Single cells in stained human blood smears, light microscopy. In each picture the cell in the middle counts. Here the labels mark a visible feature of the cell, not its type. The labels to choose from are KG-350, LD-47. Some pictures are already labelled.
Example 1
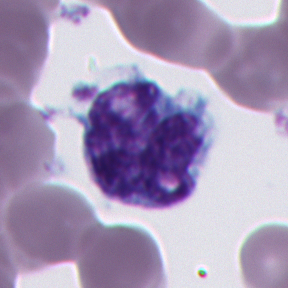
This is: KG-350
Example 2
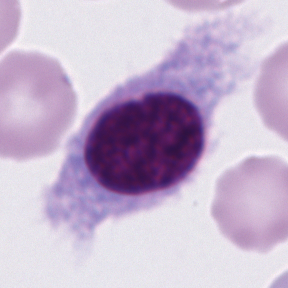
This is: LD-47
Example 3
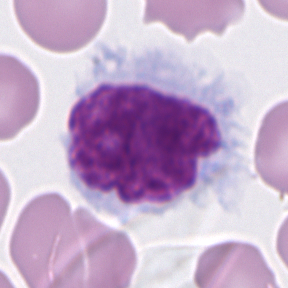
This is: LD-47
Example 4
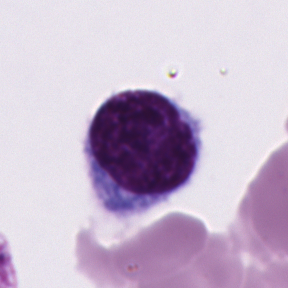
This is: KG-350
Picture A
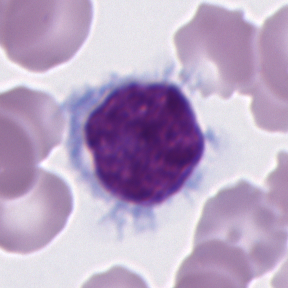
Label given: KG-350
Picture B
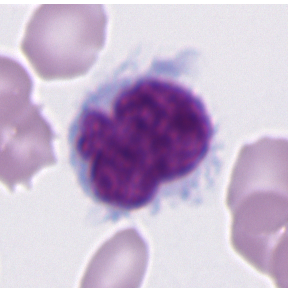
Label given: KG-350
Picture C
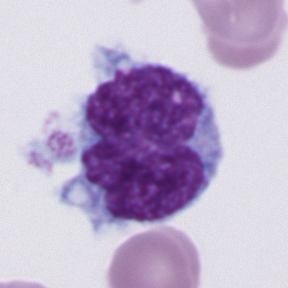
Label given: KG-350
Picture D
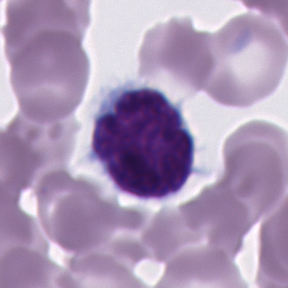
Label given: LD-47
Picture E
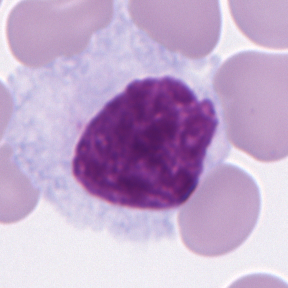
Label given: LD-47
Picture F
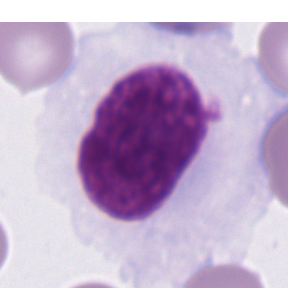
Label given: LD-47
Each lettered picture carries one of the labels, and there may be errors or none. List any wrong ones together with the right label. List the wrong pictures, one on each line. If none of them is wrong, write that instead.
Wrong: D (LD-47); correct: KG-350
